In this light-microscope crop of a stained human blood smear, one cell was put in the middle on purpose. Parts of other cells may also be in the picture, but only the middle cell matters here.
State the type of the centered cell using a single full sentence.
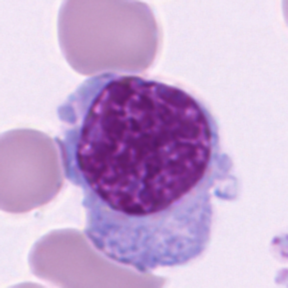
The cell in the middle of this crop is a plasma cell.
